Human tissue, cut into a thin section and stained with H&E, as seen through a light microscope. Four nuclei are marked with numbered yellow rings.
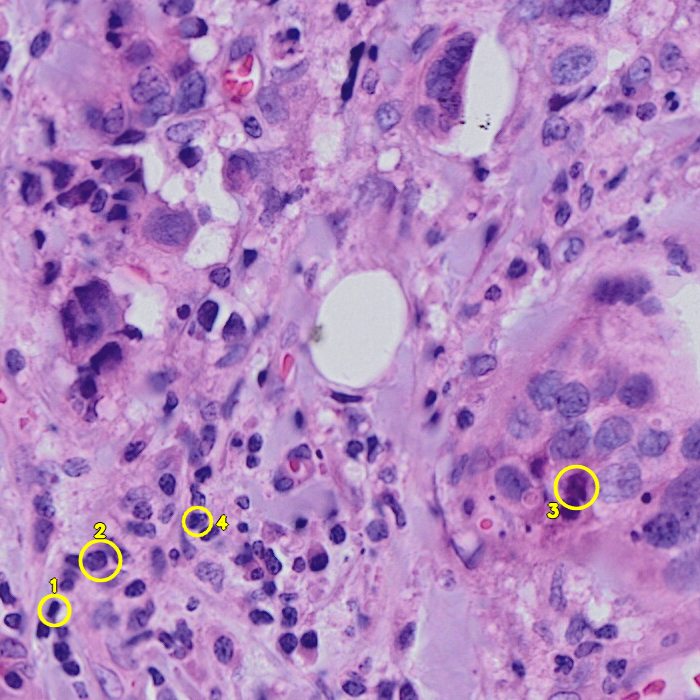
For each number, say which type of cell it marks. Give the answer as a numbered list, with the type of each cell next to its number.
1. lymphocyte
2. lymphocyte
3. carcinoma cell
4. lymphocyte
